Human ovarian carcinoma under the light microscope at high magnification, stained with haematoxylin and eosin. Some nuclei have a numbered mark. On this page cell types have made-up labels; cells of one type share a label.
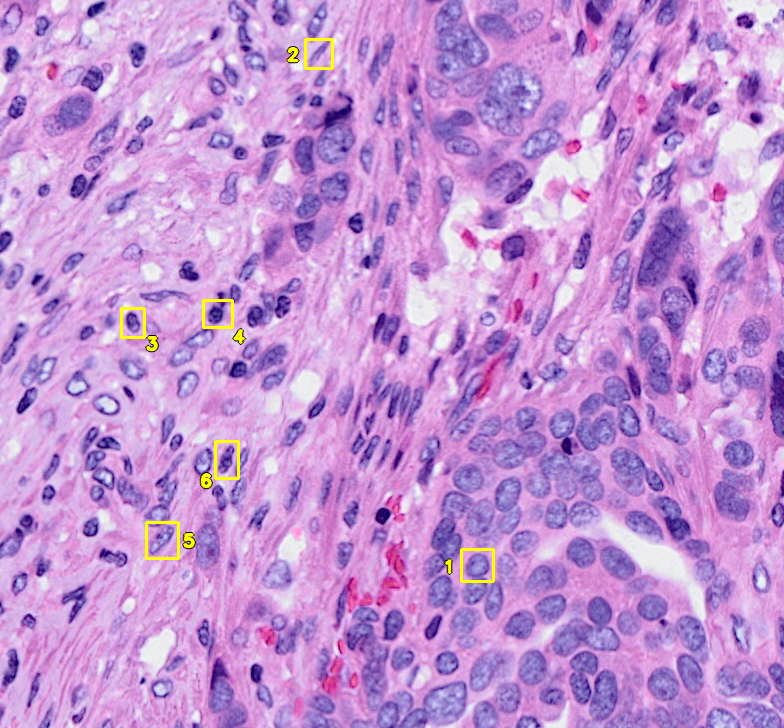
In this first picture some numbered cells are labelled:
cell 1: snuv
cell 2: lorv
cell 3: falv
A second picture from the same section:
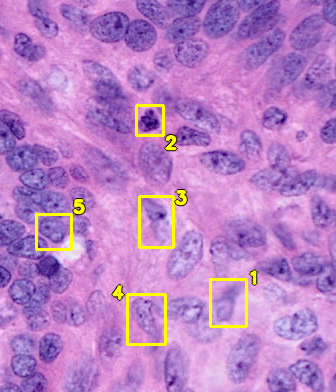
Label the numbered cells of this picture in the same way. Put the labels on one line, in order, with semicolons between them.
lorv; falv; lorv; lorv; snuv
